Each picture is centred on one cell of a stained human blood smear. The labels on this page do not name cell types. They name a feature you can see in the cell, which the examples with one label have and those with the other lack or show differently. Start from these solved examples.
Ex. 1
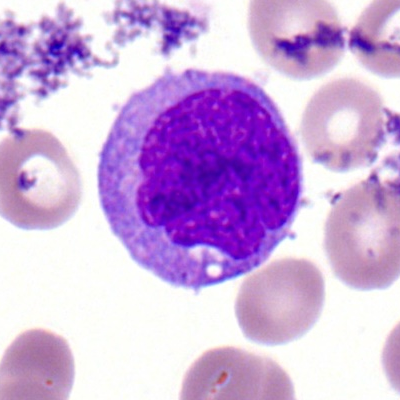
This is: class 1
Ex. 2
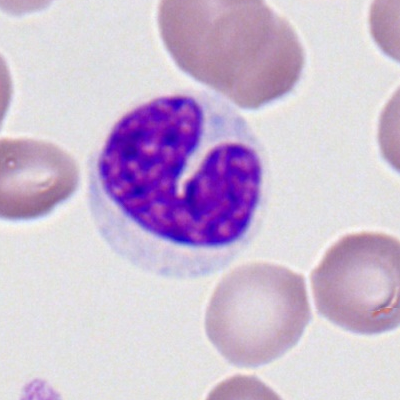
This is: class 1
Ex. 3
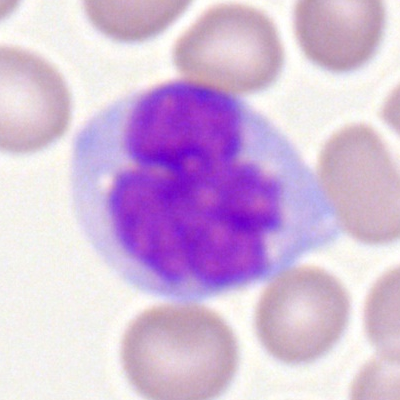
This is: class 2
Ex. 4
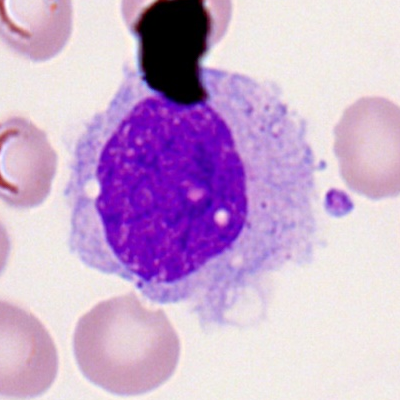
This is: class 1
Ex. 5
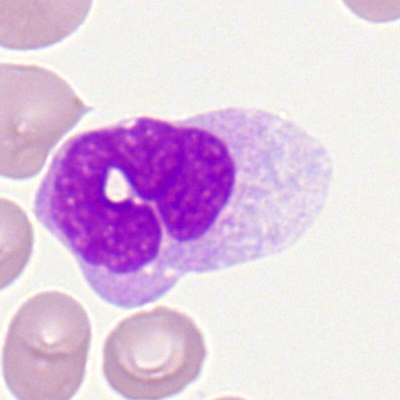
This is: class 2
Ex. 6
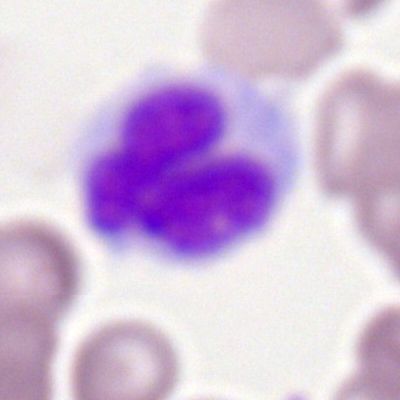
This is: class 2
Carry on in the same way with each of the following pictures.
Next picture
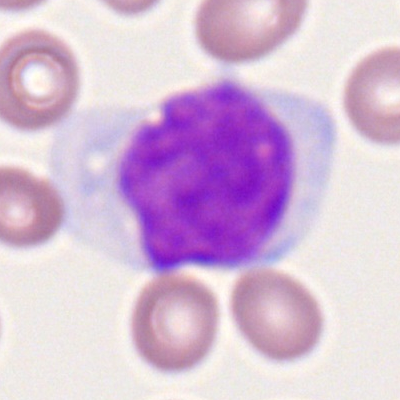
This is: class 1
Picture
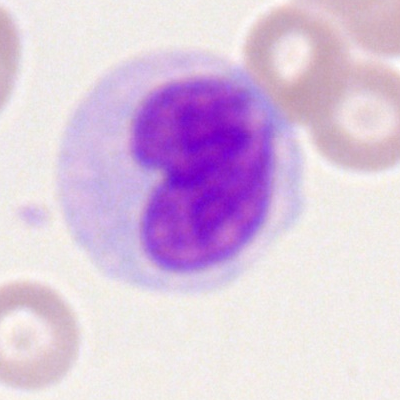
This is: class 1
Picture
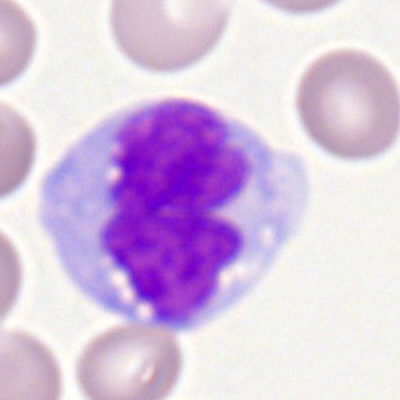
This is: class 2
